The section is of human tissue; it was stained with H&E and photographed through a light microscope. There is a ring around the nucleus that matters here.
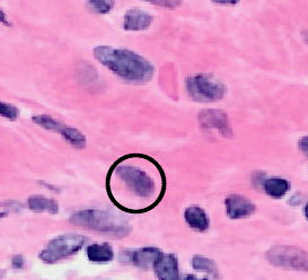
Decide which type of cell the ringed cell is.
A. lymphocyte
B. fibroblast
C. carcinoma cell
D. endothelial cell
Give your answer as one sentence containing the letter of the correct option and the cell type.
Option A gives the correct identity of the ringed cell, which is a lymphocyte.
